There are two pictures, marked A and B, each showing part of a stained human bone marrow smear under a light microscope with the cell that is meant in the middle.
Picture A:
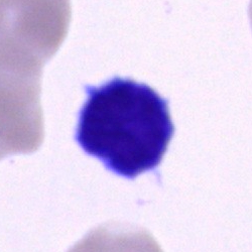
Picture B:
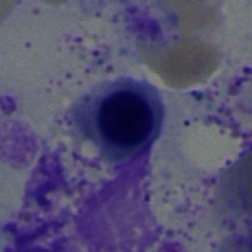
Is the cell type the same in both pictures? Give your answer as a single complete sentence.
No; the cell in picture A is a lymphocyte, while the one in picture B is an erythroblast.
